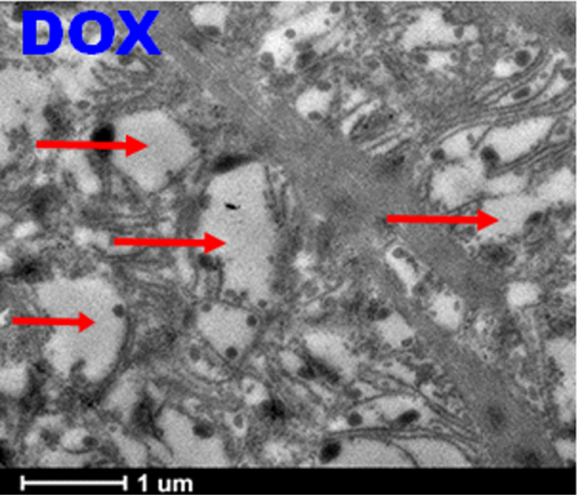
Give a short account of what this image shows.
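In this heart muscle field, large pale, almost empty spaces dominate, with only scraps of membrane and short, disordered cristae left along their borders. Small round dark granules are scattered among them, and a band of denser fibrillar material crosses the field diagonally. Compared with normal, the ordered stacks of cristae are largely gone and the matrix has become electron-lucent. These are damaged mitochondria showing cristae disarrangement and partial cristolysis.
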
